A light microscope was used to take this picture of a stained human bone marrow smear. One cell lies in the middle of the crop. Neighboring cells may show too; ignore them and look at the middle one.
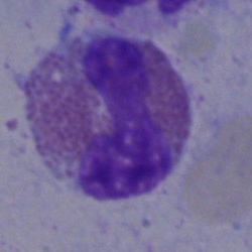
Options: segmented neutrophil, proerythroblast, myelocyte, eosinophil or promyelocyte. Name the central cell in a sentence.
The cell the crop is centered on is an eosinophil.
